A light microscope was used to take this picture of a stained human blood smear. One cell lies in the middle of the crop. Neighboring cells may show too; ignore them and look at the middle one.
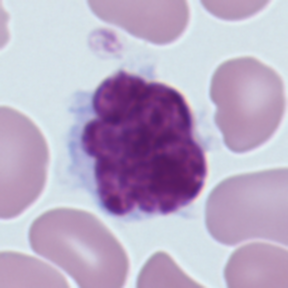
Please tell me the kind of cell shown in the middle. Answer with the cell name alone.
hairy cell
